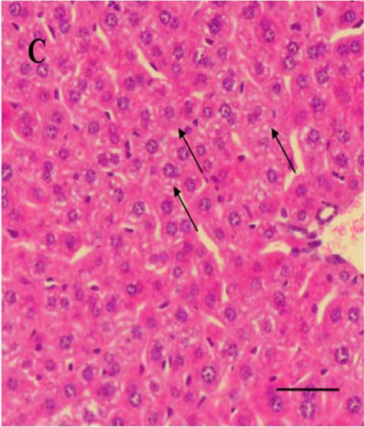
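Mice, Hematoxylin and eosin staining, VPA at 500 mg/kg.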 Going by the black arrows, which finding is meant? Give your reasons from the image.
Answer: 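The arrows point at polygonal cells with round central nuclei. Small clear vacuoles are scattered in the pink cytoplasm of these cells. So: hepatocyte microvesicular steatosis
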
